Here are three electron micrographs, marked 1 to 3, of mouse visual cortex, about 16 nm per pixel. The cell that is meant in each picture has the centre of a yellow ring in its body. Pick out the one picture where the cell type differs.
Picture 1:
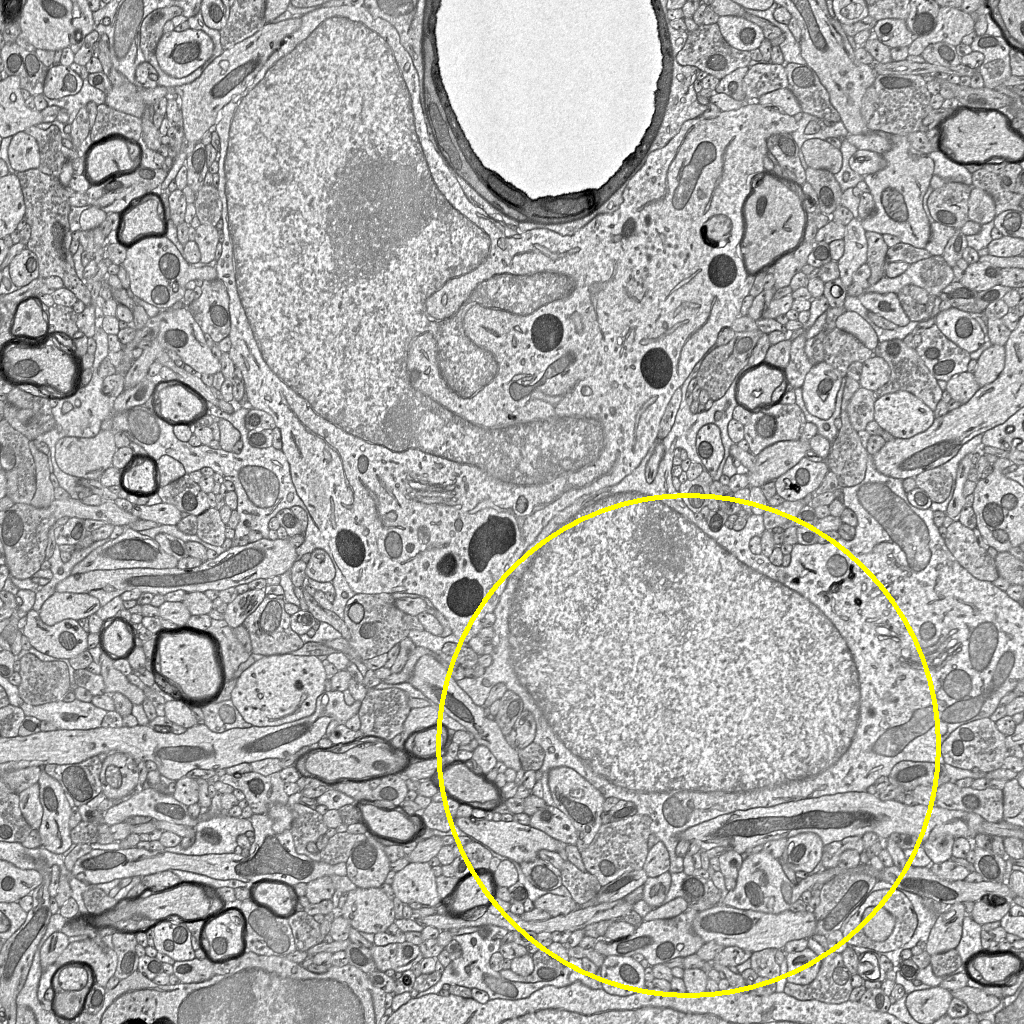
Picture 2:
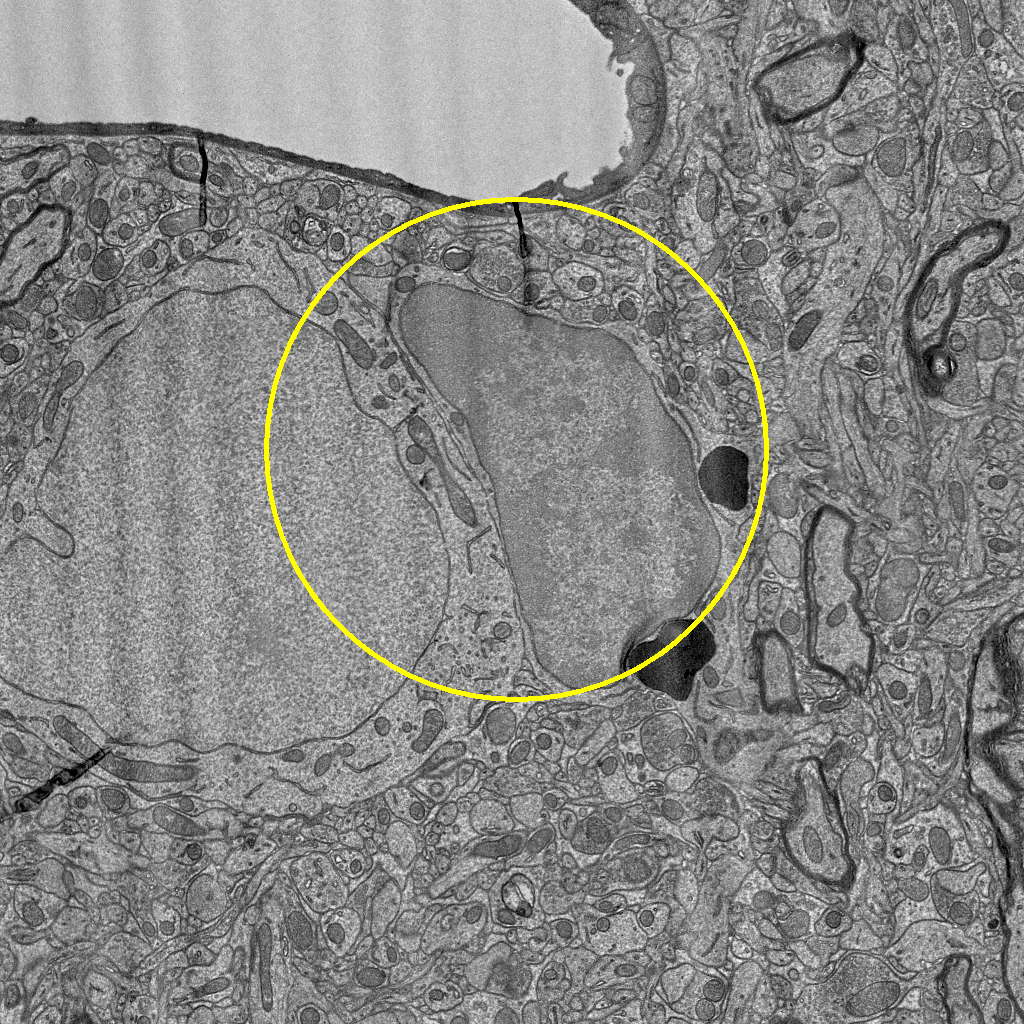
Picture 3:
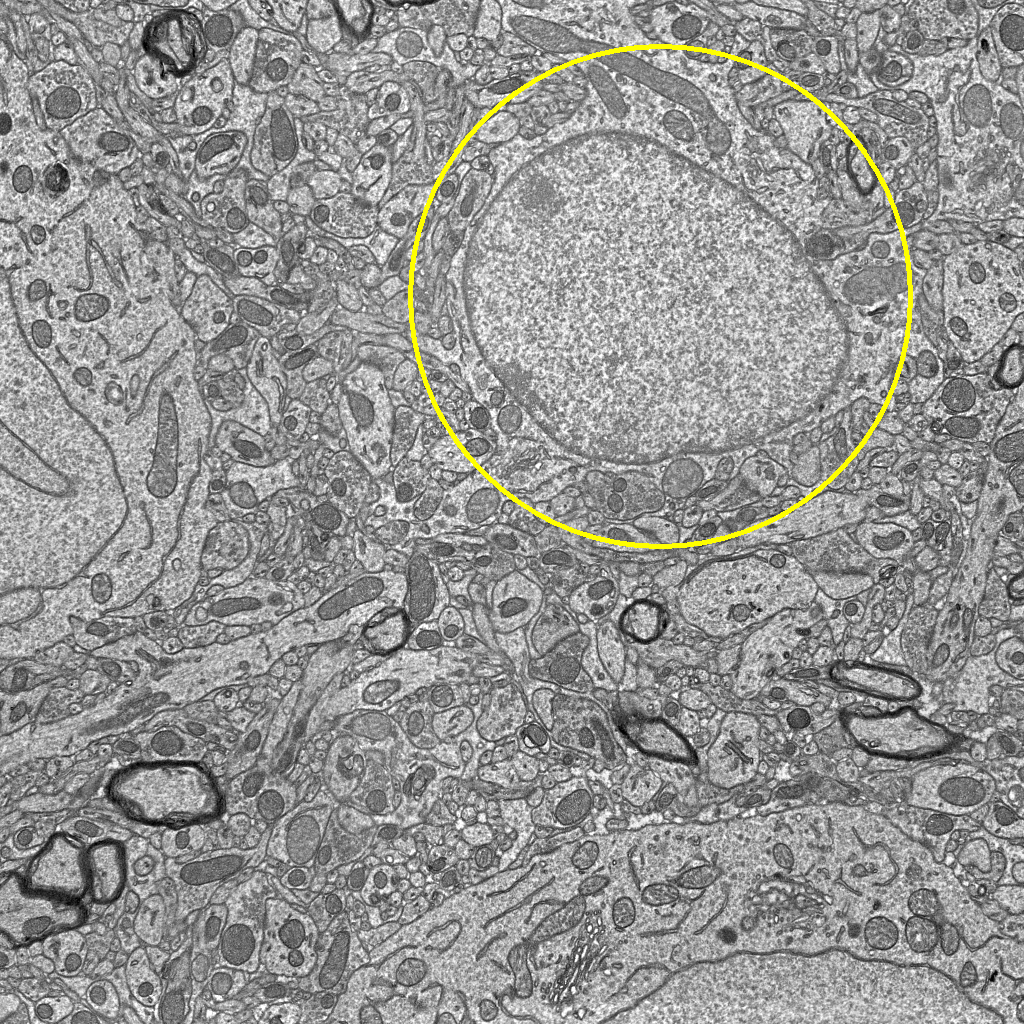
Picture 2 is the odd one out: it shows a microglial cell, while the others show astrocytes.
